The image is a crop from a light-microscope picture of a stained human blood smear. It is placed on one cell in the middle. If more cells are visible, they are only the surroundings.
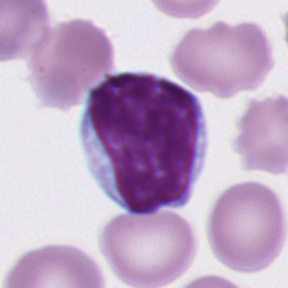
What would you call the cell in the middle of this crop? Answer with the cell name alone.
typical lymphocyte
